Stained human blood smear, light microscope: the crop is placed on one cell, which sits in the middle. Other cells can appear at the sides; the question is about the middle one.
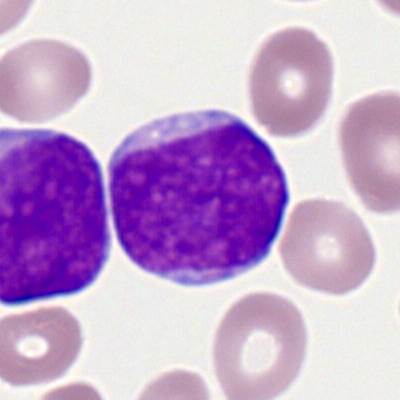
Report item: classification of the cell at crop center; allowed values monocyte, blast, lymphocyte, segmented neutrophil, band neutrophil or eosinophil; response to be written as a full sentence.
This crop is built around a blast at its centre.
